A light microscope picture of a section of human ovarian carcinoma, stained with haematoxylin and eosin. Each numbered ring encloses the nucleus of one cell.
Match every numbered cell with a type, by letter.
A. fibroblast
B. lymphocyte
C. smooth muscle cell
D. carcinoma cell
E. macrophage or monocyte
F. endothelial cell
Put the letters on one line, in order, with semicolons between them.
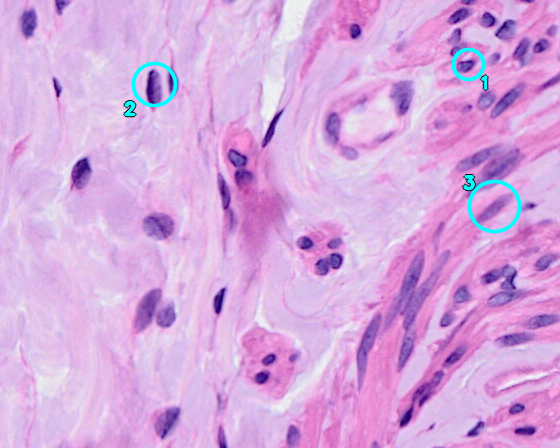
C; A; C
